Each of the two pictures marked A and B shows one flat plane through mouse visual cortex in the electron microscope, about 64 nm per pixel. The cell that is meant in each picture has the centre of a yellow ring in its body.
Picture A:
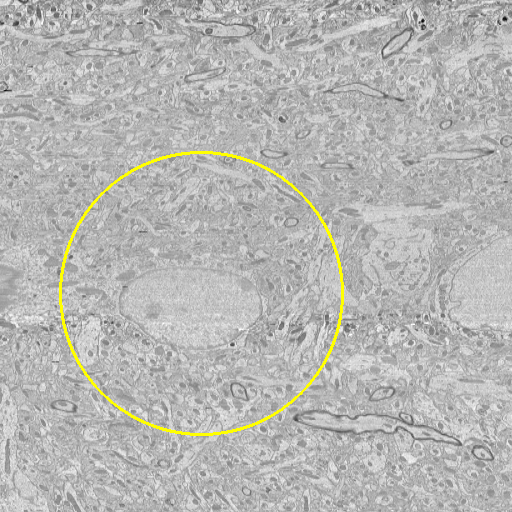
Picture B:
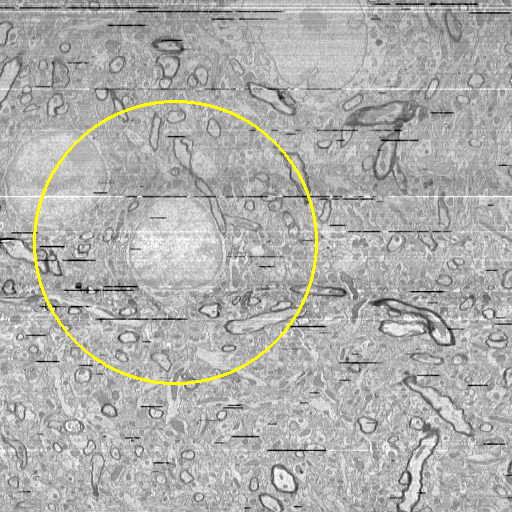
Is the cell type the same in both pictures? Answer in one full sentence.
No, picture A shows an astrocyte and picture B shows an oligodendrocyte.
